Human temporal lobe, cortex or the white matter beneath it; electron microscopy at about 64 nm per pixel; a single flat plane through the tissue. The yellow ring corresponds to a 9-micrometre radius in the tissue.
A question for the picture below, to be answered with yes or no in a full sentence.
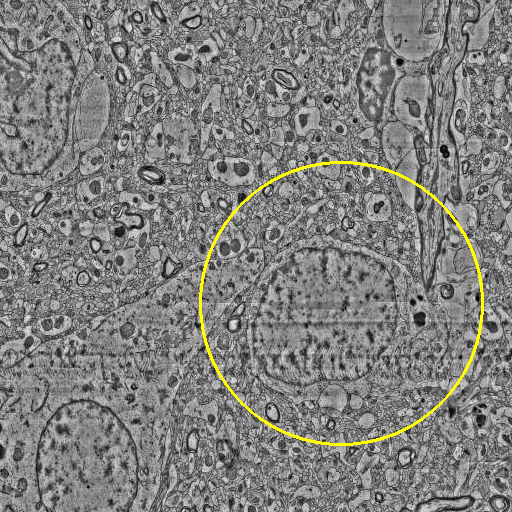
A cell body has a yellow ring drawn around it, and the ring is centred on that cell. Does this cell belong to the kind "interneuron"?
Yes, the pictured cell at the ring's centre belongs to that kind.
